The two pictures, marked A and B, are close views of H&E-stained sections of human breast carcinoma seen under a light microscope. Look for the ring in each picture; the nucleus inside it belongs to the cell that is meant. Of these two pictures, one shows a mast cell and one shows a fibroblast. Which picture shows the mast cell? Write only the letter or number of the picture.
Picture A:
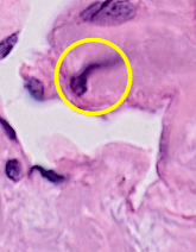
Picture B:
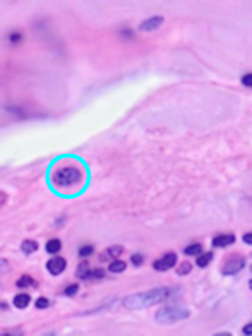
B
